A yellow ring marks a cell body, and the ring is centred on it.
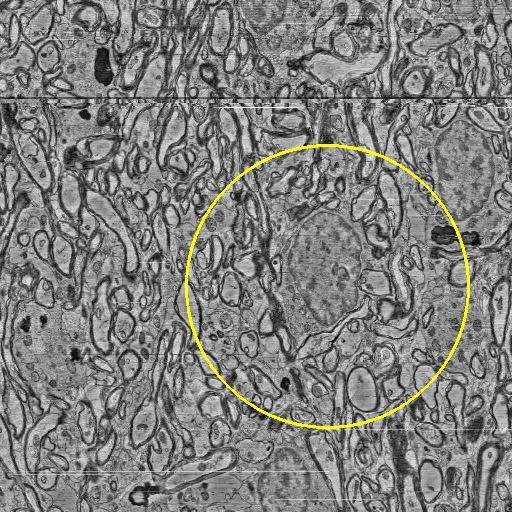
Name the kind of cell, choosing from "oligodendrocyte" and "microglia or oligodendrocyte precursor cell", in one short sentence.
The marked cell body belongs to an oligodendrocyte.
